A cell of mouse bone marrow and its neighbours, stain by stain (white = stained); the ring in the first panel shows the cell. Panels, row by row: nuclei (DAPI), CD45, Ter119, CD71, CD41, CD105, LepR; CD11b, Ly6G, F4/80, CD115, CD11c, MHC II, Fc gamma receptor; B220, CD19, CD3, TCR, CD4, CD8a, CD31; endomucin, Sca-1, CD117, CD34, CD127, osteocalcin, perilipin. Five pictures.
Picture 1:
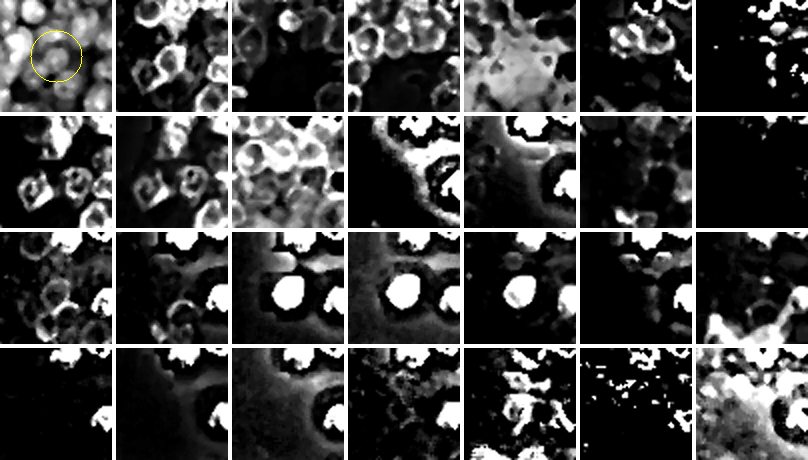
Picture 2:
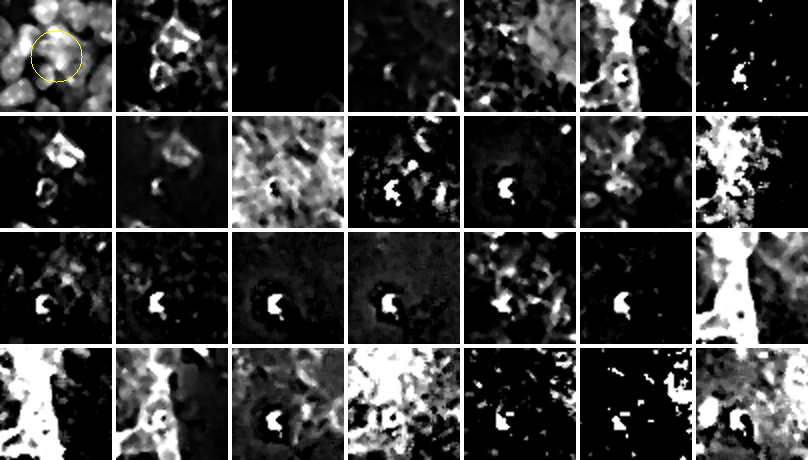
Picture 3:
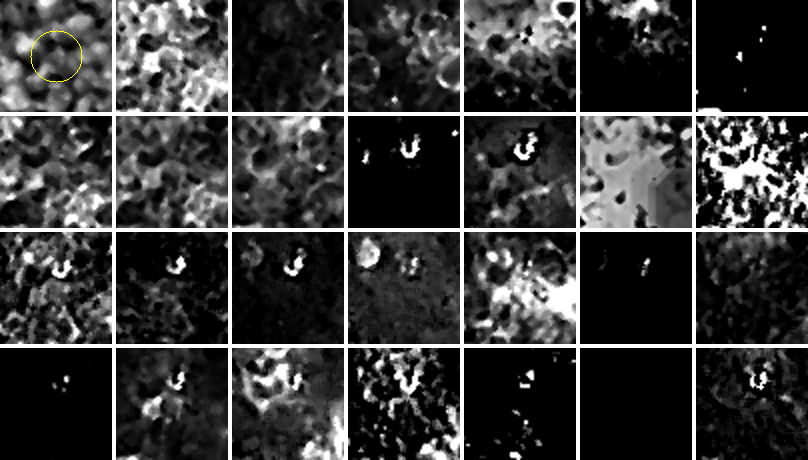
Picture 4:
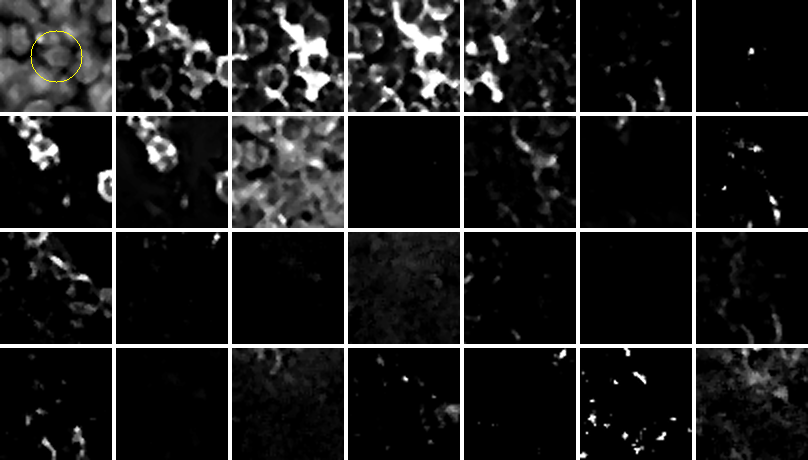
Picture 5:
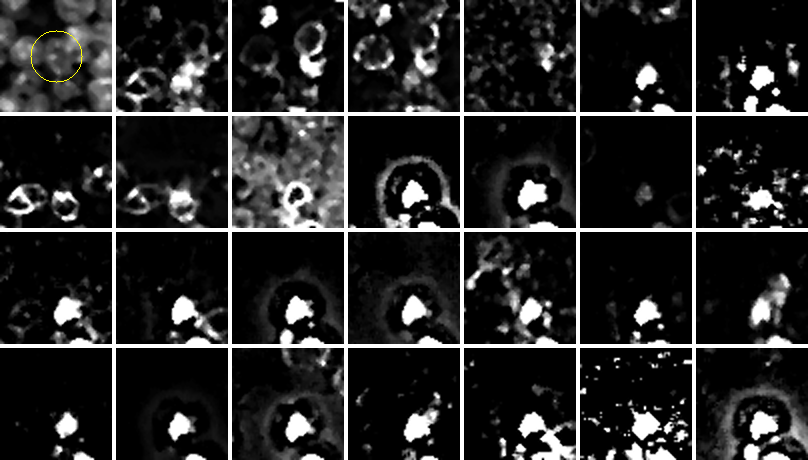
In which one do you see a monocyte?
In picture 2.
